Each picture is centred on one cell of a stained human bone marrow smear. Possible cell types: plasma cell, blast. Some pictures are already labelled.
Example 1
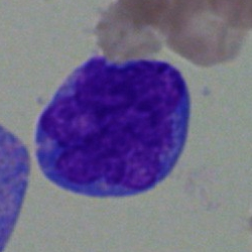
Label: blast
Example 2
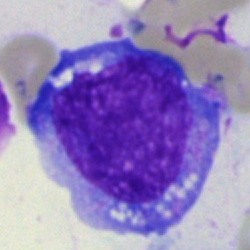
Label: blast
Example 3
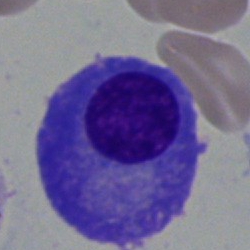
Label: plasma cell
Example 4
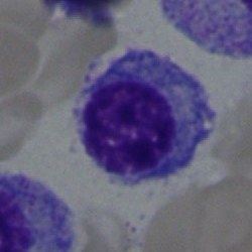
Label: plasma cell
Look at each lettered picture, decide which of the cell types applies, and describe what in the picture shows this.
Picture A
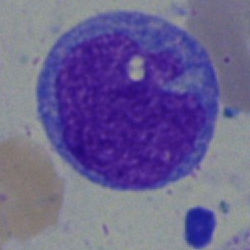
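Answer: blast. The nucleus fills most of the cell.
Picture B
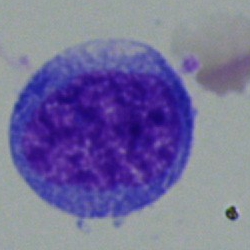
Answer: blast. The chromatin is finely granular with small pale spaces rather than coarse dark clumps.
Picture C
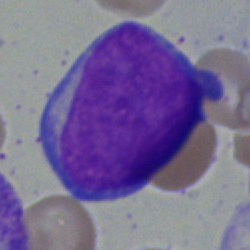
Answer: blast. The cytoplasm is a scant, deep blue rim around the nucleus.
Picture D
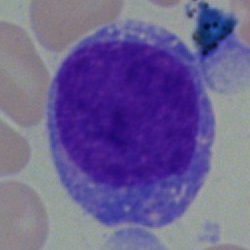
Answer: blast. The nucleus fills most of the cell.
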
